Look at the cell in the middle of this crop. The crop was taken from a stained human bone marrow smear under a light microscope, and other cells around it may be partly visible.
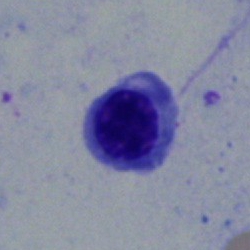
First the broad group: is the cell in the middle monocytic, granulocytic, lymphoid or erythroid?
erythroid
